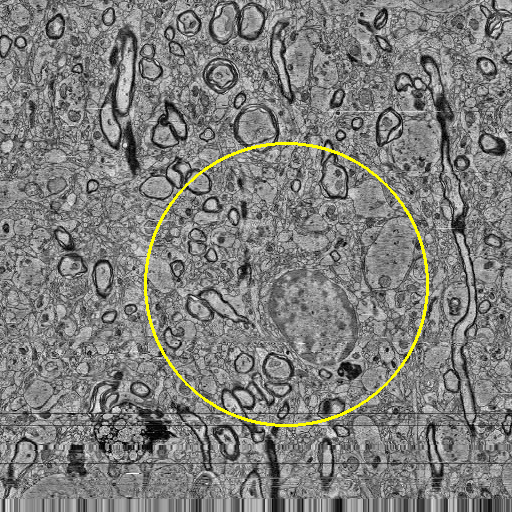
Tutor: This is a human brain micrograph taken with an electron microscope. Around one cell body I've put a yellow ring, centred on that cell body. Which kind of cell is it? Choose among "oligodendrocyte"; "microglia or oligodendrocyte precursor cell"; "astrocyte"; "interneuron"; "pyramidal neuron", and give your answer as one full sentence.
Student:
Going by your list, the cell centred in the yellow ring is a microglial cell or oligodendrocyte precursor cell.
